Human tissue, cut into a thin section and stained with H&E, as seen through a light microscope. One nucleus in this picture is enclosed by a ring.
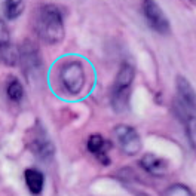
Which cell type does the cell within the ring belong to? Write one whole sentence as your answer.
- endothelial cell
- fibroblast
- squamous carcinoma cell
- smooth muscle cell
The cell within the ring appears to be an endothelial cell.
